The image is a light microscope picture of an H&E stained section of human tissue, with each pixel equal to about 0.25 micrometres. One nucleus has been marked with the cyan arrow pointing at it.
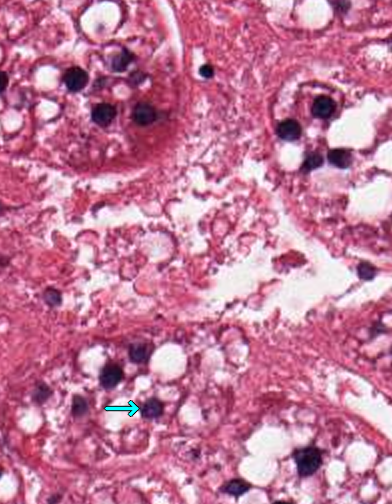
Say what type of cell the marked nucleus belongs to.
adrenal cortical cell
